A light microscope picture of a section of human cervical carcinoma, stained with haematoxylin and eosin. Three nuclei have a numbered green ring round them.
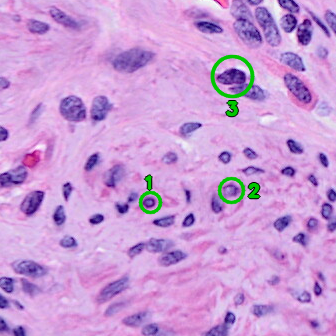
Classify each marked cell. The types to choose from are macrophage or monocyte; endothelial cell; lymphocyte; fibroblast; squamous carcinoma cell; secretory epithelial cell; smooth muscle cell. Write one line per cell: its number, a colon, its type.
1: smooth muscle cell
2: smooth muscle cell
3: lymphocyte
